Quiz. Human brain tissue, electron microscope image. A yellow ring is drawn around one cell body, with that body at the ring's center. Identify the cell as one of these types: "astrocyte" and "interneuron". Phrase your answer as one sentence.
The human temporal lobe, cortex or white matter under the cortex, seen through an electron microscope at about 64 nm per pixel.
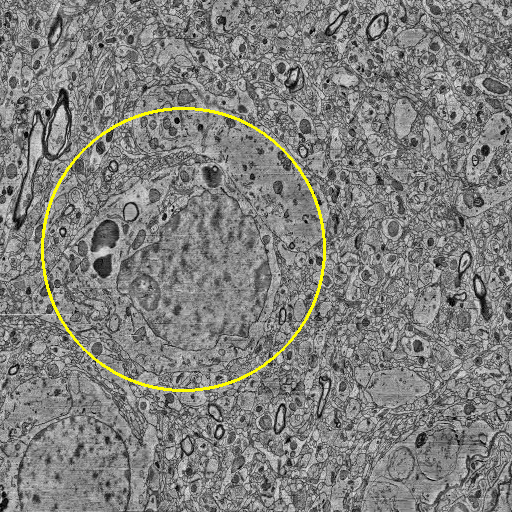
At the center of the ring sits an interneuron.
